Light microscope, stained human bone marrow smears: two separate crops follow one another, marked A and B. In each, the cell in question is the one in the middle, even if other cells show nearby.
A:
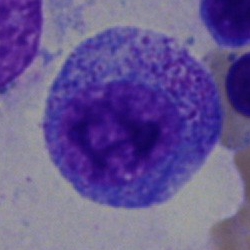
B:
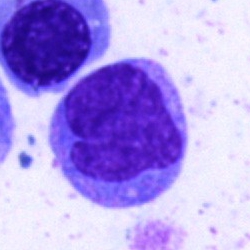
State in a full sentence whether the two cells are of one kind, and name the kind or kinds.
No, a promyelocyte is centred in crop A, and a monocyte is centred in crop B.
